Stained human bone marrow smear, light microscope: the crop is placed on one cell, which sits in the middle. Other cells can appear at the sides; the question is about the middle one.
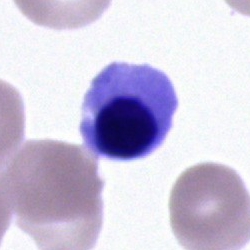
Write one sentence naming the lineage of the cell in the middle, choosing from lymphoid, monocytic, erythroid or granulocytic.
The cell of interest in the center belongs to the erythroid lineage.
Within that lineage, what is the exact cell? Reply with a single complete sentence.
This crop's central cell is an erythroblast.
